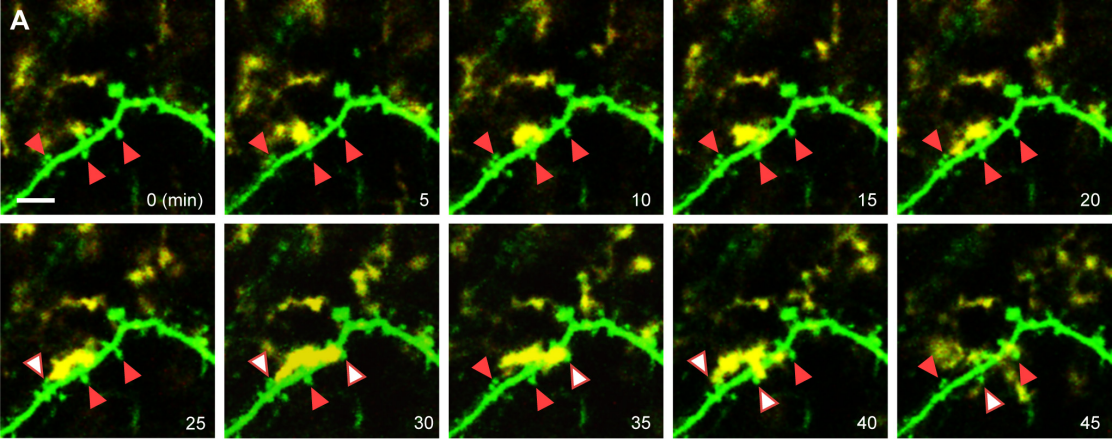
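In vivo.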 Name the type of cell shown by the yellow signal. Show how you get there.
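Irregular yellow processes lie next to the green branch. The yellow processes change shape from frame to frame and touch the green knobs. That points to this answer: microglia.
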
